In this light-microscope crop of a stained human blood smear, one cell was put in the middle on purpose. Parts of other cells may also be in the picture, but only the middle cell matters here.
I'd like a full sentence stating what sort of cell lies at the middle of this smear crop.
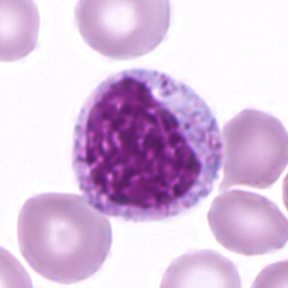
Present in the middle of the crop is a myelocyte.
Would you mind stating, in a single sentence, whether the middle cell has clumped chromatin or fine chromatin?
In this nucleus, the chromatin is arranged in coarse clumps.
